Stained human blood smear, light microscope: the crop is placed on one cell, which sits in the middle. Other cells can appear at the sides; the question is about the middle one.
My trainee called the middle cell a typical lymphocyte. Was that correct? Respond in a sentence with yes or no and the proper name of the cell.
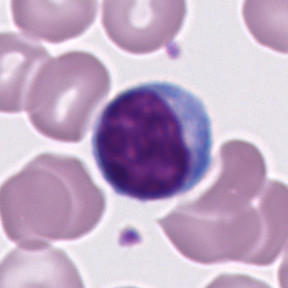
Yes, the cell found in the middle is a typical lymphocyte.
